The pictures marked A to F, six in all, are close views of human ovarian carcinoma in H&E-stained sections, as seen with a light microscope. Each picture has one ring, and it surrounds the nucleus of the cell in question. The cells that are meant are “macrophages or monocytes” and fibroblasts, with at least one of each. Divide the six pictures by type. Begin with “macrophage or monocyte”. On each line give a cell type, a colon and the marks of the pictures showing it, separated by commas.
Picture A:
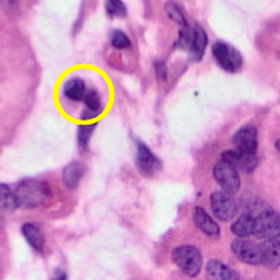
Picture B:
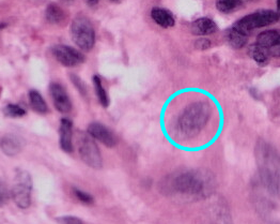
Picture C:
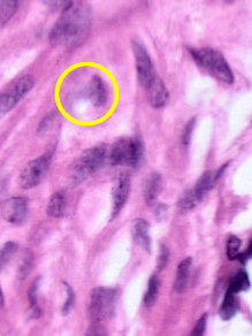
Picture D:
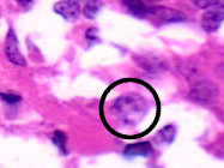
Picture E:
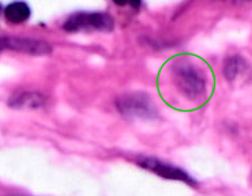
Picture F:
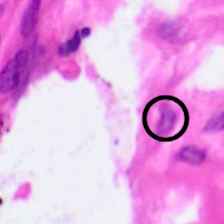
macrophage or monocyte: A, D
fibroblast: B, C, E, F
